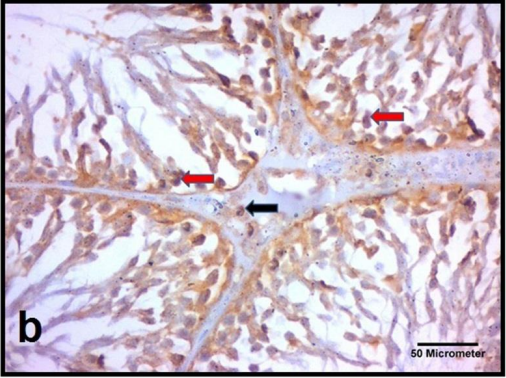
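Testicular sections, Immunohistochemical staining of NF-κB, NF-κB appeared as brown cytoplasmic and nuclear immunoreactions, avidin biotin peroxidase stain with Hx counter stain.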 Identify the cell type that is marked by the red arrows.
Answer: Spermatogenic cells.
